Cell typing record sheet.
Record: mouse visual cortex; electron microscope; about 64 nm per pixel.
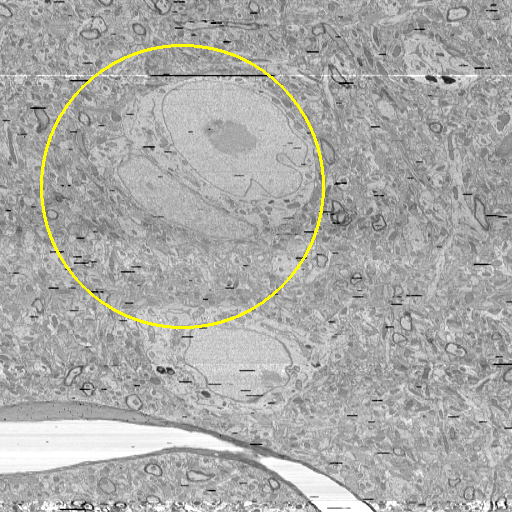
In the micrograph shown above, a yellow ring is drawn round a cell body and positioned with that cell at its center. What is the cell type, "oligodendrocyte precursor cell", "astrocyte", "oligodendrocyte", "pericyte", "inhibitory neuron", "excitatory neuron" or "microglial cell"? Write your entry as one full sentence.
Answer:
The cell body at the center of the ring belongs to an oligodendrocyte precursor cell.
